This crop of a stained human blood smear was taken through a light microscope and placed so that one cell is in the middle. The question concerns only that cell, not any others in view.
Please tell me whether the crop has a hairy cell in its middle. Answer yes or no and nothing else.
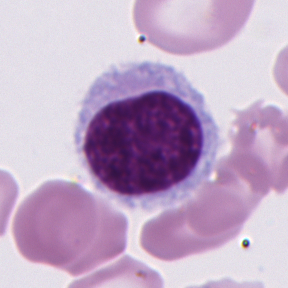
yes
